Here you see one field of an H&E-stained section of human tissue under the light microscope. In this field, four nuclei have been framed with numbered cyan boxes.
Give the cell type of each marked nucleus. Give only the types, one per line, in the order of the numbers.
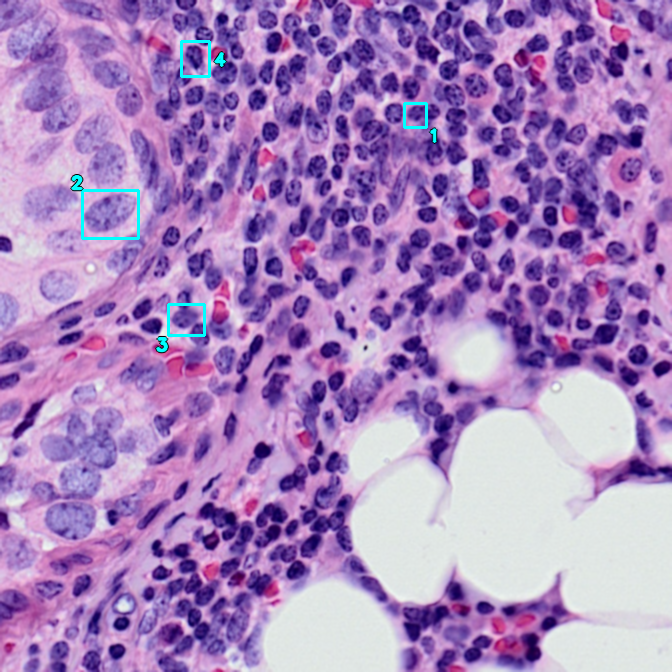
lymphocyte
carcinoma cell
lymphocyte
lymphocyte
